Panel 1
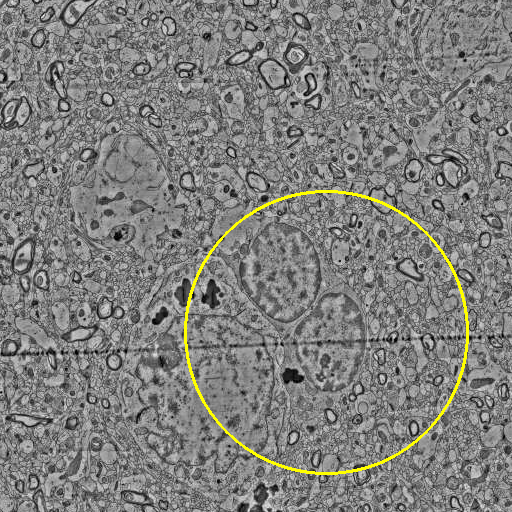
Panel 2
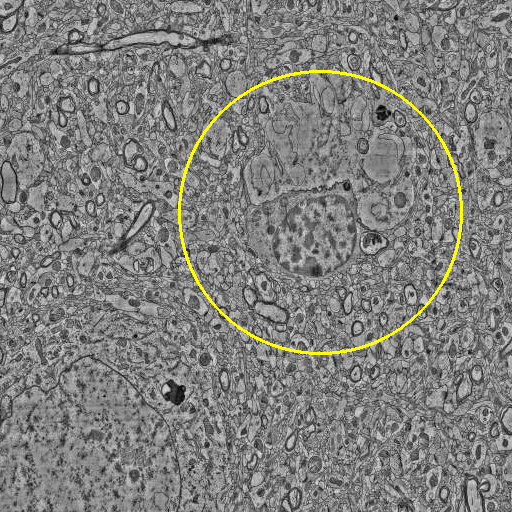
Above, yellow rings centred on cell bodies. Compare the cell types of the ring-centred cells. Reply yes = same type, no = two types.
yes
